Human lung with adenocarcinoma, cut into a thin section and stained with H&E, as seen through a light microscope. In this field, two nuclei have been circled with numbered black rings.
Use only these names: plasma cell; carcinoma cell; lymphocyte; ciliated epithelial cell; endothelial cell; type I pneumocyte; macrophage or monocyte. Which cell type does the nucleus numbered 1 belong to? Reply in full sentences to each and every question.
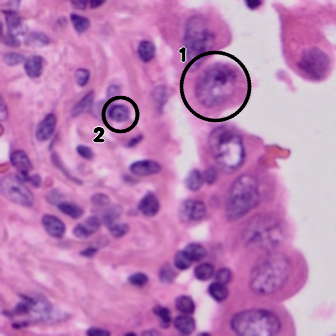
The cell that is numbered 1 is a carcinoma cell.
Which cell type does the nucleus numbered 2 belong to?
The correct label for cell 2 is a lymphocyte.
